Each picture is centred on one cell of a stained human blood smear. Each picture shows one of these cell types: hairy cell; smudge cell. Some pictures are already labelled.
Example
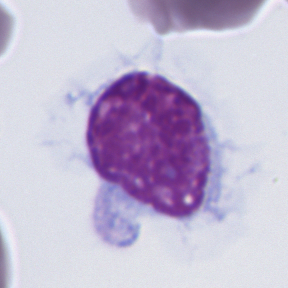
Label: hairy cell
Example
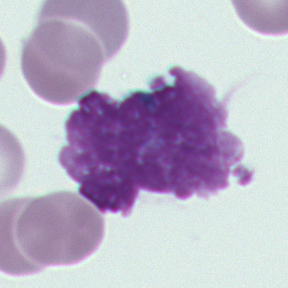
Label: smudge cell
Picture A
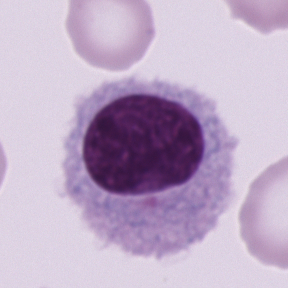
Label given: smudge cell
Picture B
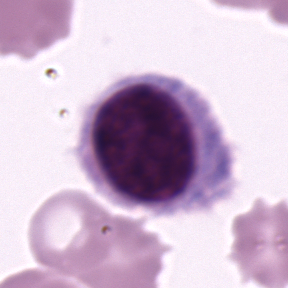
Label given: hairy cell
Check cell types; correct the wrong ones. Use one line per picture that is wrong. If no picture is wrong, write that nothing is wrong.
Wrong: A (smudge cell); correct: hairy cell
